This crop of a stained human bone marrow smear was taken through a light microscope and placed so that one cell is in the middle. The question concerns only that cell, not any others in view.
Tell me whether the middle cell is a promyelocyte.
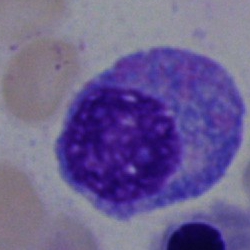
yes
